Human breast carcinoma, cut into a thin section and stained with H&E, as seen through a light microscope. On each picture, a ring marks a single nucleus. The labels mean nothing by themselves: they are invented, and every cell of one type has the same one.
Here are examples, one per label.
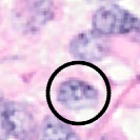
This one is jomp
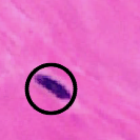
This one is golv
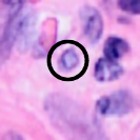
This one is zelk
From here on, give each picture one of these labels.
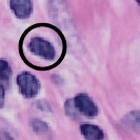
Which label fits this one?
golv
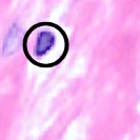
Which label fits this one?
golv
